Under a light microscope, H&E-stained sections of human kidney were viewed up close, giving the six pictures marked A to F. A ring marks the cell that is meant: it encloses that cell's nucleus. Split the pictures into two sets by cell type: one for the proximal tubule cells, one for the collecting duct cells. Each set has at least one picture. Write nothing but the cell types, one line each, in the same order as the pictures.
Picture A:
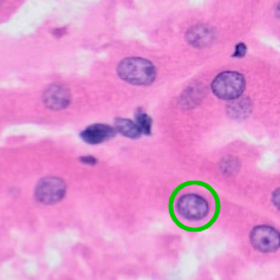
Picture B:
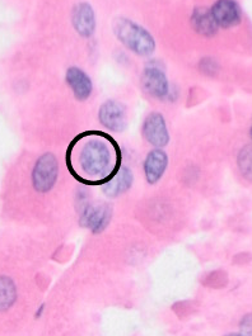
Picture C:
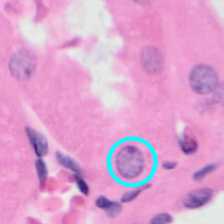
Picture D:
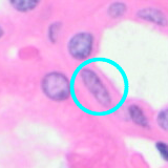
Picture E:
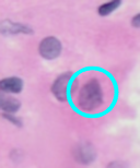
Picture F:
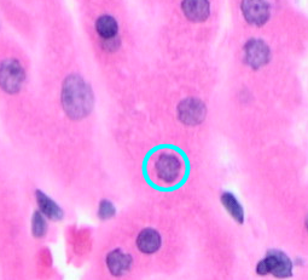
proximal tubule cell
collecting duct cell
proximal tubule cell
collecting duct cell
proximal tubule cell
proximal tubule cell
